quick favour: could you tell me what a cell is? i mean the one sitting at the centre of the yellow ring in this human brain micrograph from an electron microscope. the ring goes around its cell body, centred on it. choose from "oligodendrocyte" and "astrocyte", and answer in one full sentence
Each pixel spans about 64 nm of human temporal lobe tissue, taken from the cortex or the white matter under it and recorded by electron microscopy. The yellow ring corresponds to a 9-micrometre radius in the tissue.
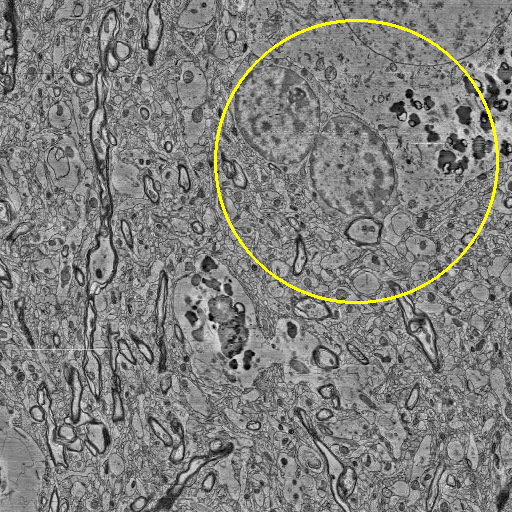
That's an oligodendrocyte, the cell sitting at the centre of the yellow ring.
